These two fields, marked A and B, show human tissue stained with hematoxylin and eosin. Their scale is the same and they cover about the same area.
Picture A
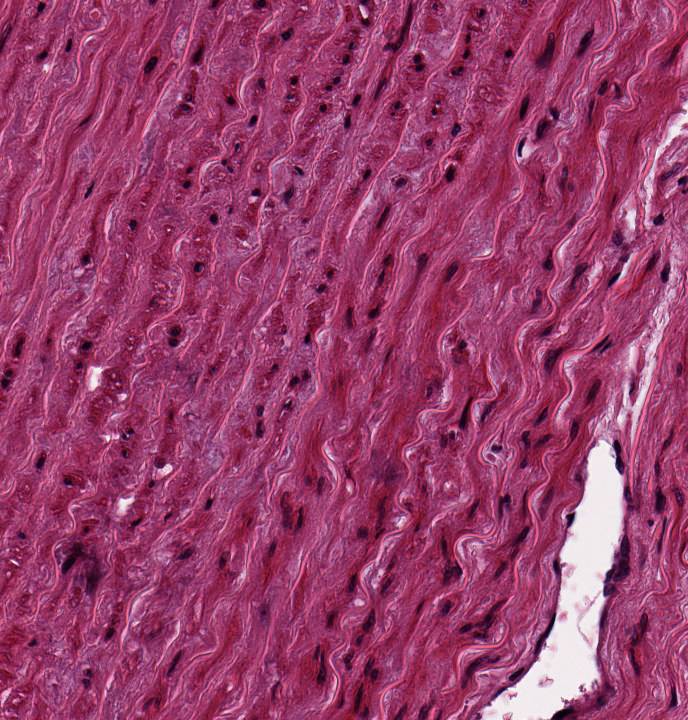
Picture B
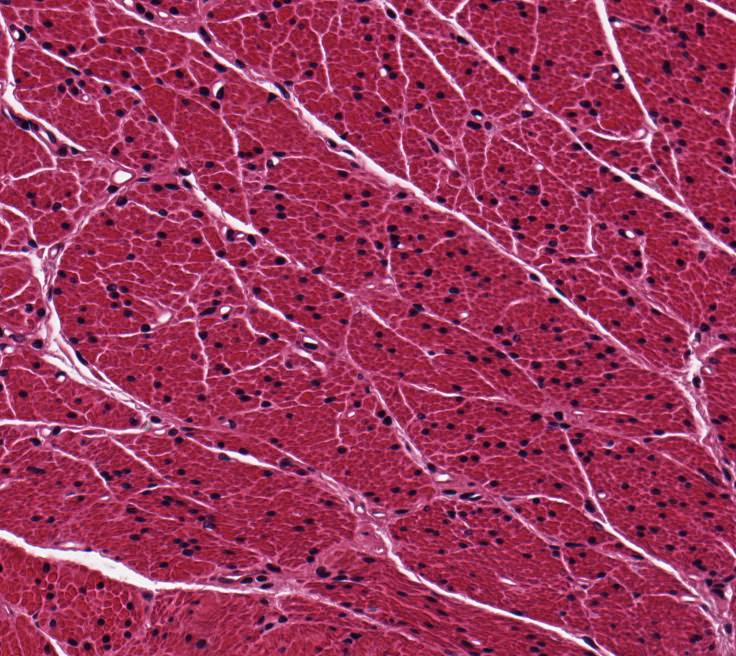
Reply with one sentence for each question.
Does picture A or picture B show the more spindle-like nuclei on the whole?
The nuclei are more elongated in picture A.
